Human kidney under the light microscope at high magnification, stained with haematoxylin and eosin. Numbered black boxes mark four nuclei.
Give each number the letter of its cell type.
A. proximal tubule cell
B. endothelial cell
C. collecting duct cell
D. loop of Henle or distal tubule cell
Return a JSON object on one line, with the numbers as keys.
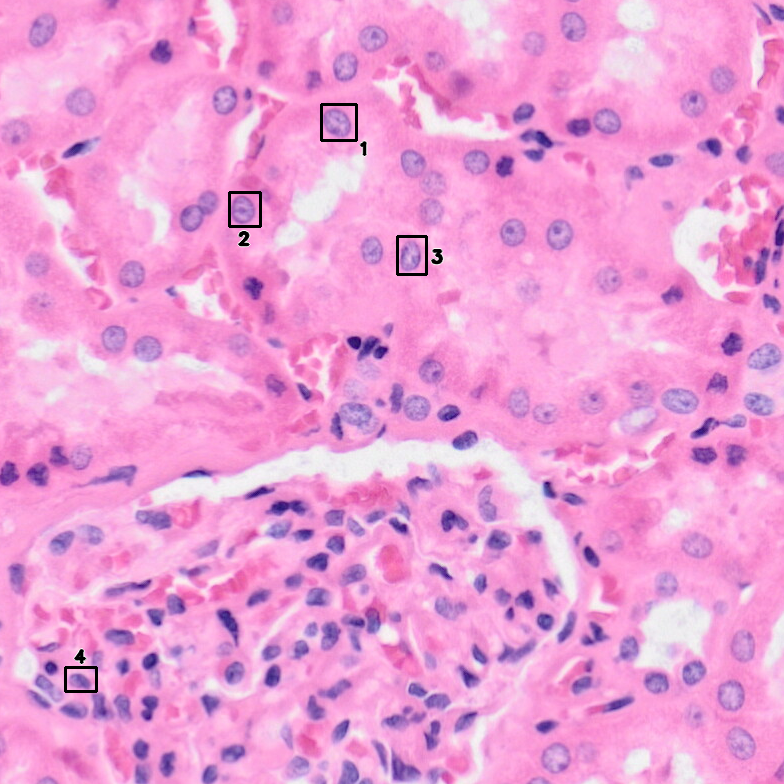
{"1": "A", "2": "A", "3": "A", "4": "B"}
